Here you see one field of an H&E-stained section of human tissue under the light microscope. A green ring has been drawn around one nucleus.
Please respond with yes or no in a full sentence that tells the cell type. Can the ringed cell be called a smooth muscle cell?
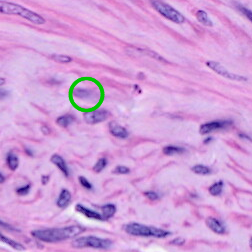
Yes, the statement that the ringed cell is a smooth muscle cell is correct.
